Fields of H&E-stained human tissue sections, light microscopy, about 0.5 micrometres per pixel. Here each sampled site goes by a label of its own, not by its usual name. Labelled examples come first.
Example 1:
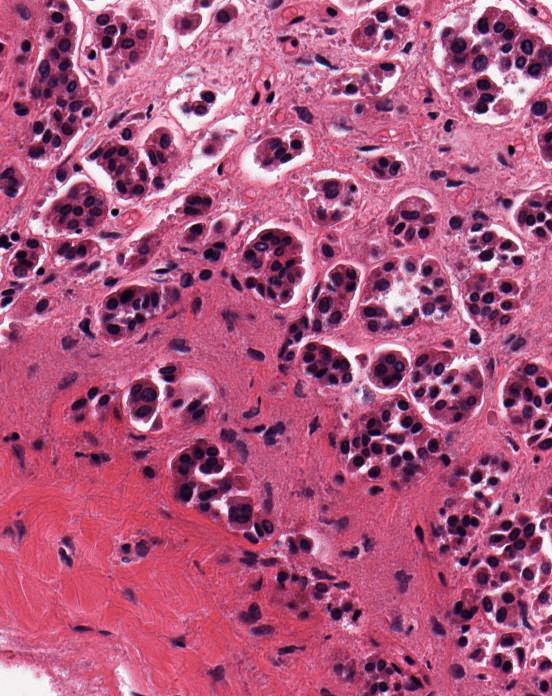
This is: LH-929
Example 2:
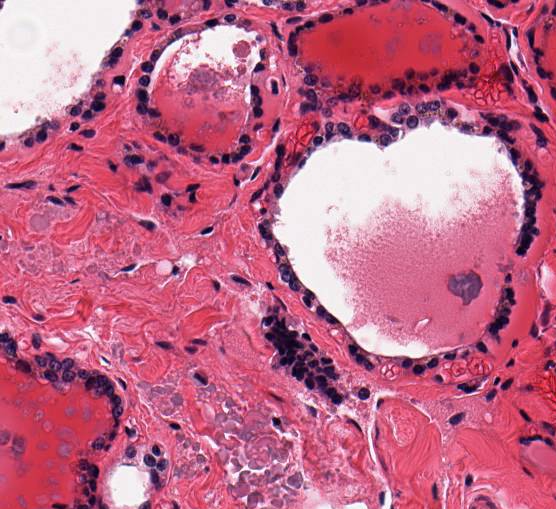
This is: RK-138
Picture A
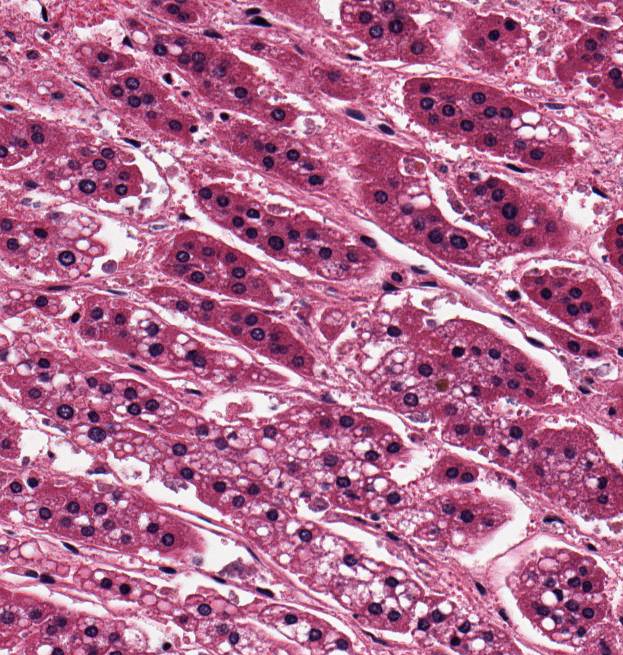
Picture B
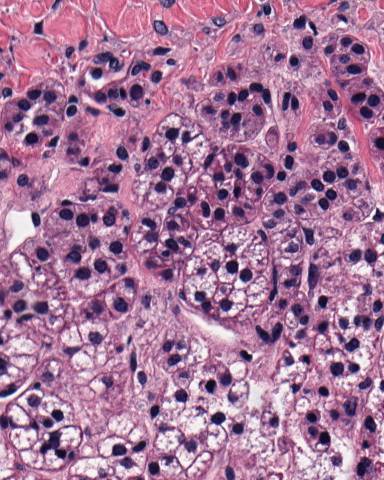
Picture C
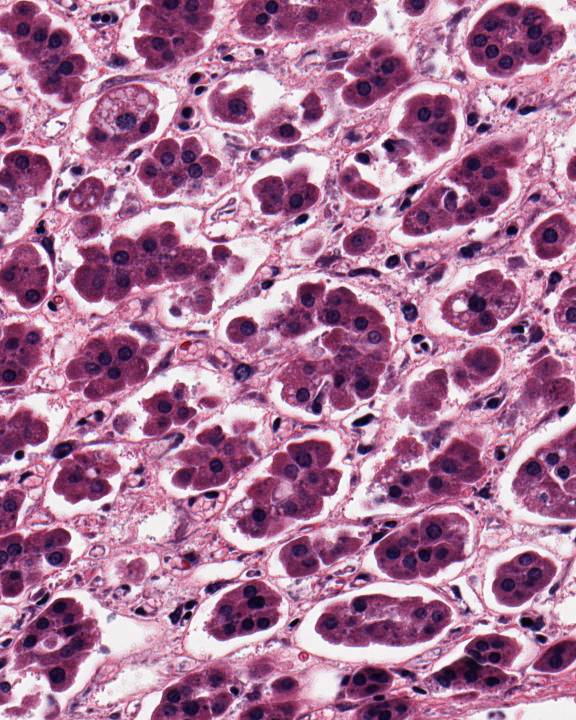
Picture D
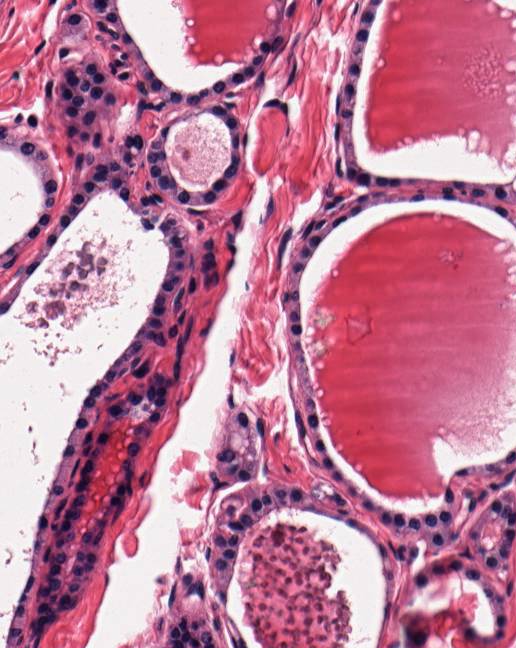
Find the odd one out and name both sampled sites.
Odd one out: D (RK-138). The rest: LH-929.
